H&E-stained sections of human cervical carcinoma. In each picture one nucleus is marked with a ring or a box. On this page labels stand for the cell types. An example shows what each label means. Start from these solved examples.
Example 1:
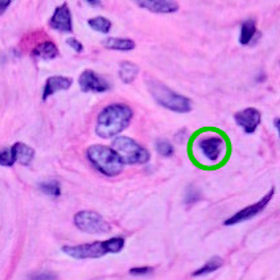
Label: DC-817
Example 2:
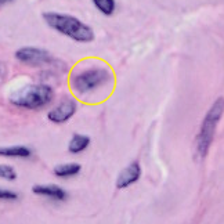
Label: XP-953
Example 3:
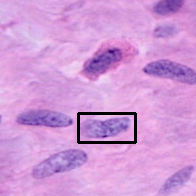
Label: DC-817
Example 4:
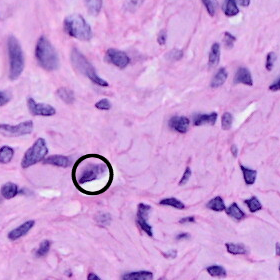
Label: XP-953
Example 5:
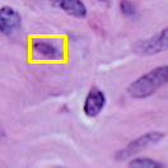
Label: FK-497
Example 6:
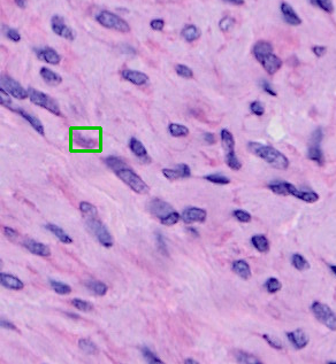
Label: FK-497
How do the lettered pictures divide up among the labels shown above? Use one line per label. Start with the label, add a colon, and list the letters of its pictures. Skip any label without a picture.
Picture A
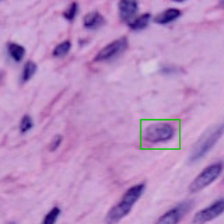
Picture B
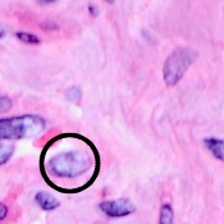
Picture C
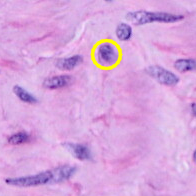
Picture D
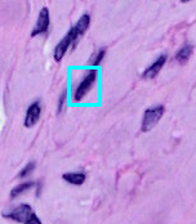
DC-817: D
XP-953: B
FK-497: A, C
